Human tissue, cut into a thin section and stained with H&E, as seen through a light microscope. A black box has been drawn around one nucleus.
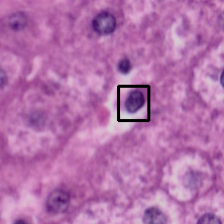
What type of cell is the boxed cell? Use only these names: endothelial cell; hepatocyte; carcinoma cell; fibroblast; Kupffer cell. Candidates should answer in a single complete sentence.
Considered by cell type, the boxed cell is a Kupffer cell.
